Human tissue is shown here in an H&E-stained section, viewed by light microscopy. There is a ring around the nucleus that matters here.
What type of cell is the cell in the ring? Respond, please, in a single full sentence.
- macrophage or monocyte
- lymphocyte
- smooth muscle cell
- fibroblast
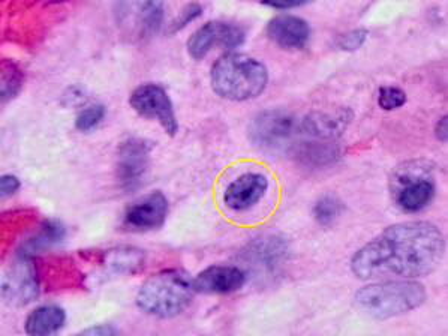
As for its identity, the cell in the ring is a lymphocyte.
